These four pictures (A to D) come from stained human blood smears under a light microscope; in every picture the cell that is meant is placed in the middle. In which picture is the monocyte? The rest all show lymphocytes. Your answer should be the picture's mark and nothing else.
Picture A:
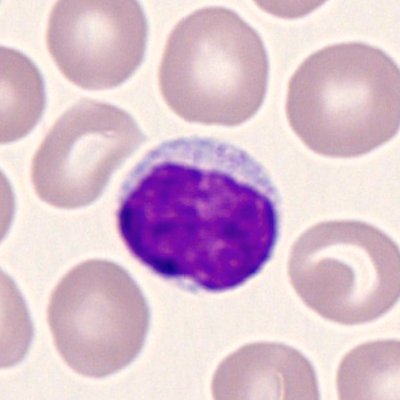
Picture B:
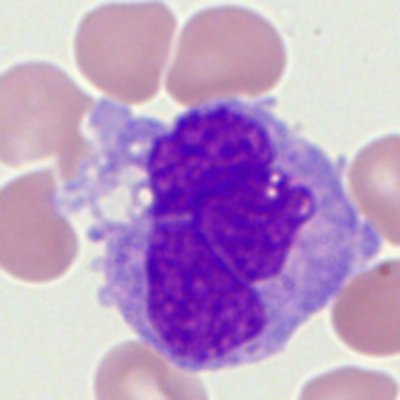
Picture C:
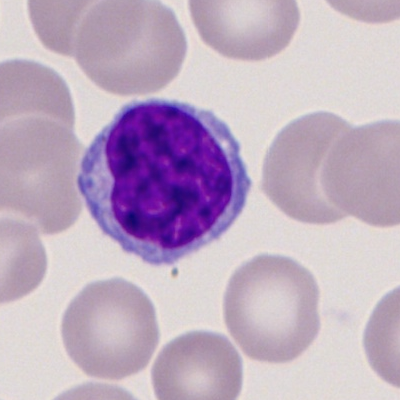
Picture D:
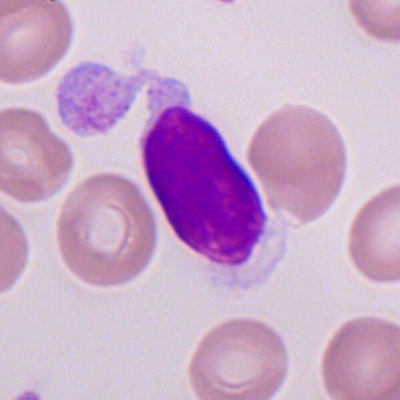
B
